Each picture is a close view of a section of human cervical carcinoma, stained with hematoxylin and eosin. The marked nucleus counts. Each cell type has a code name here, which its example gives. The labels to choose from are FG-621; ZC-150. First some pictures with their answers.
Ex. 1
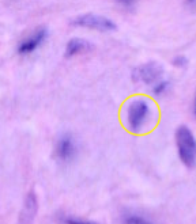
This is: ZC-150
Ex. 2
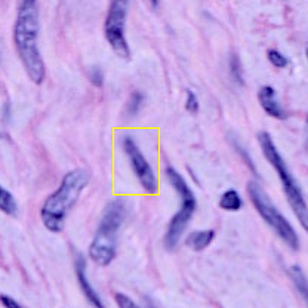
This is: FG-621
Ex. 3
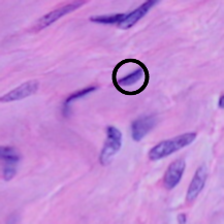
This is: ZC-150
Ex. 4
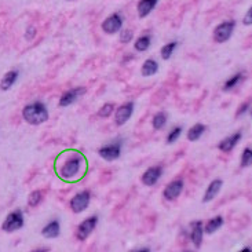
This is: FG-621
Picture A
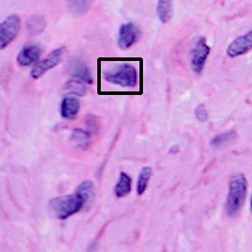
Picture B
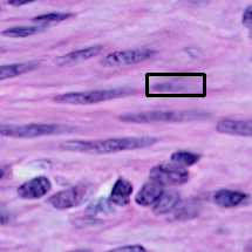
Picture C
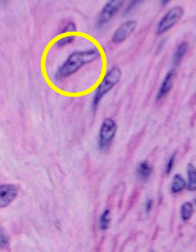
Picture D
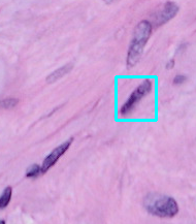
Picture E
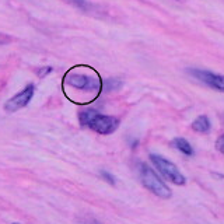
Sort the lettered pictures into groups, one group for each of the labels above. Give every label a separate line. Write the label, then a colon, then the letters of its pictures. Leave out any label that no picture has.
FG-621: B, C, E
ZC-150: A, D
